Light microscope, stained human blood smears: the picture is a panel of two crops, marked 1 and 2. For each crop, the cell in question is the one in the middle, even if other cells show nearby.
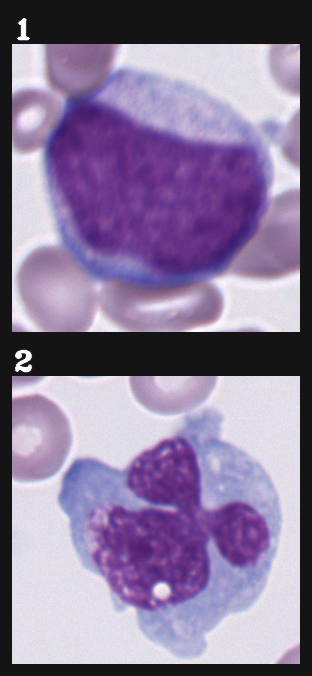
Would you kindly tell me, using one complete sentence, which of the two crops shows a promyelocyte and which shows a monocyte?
Represented in crop 1 is a promyelocyte; represented in crop 2 is a monocyte.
